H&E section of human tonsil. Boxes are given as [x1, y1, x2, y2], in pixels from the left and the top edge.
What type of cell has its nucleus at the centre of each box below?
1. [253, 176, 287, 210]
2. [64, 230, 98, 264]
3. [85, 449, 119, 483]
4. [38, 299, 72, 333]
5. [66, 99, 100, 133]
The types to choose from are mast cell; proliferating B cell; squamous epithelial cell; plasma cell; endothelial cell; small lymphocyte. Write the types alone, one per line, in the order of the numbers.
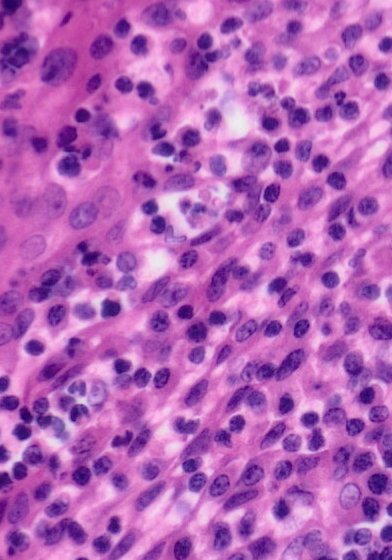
plasma cell
squamous epithelial cell
plasma cell
plasma cell
squamous epithelial cell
